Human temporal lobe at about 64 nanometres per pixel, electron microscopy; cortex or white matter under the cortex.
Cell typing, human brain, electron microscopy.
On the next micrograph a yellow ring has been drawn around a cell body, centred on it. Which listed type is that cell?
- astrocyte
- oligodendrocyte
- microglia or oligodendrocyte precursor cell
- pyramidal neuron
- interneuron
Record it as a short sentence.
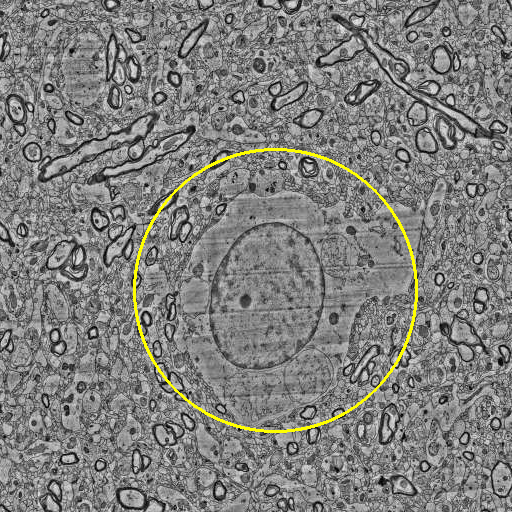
The cell body in the ring's centre belongs to an astrocyte.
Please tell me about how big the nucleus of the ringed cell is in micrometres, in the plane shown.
In this plane, the nucleus of the cell at the centre of the ring measures about 10 by 7 micrometres.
